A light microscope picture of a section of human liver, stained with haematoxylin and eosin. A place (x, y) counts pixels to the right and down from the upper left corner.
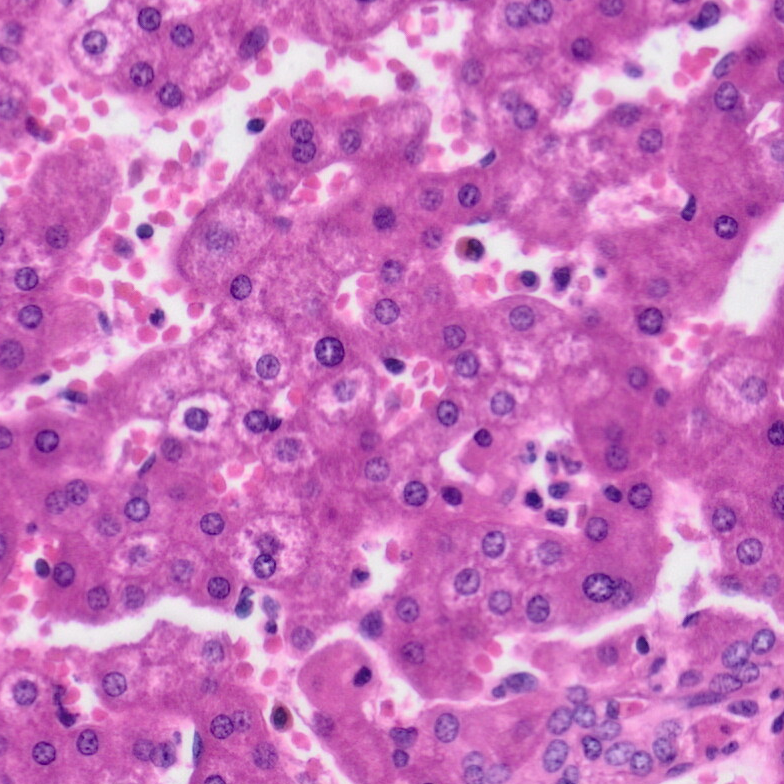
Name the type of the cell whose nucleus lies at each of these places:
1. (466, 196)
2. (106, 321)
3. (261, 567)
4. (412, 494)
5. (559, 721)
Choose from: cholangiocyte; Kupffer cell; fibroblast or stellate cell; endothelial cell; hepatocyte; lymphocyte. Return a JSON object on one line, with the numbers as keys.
{"1": "hepatocyte", "2": "fibroblast or stellate cell", "3": "hepatocyte", "4": "hepatocyte", "5": "cholangiocyte"}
